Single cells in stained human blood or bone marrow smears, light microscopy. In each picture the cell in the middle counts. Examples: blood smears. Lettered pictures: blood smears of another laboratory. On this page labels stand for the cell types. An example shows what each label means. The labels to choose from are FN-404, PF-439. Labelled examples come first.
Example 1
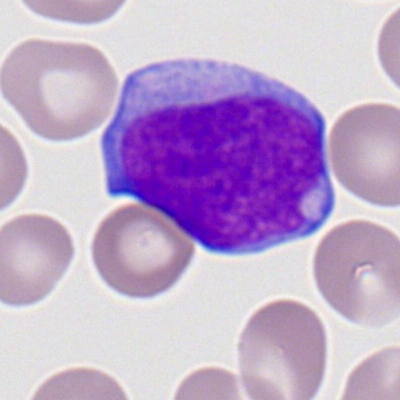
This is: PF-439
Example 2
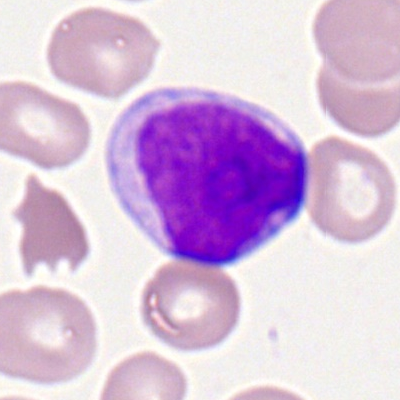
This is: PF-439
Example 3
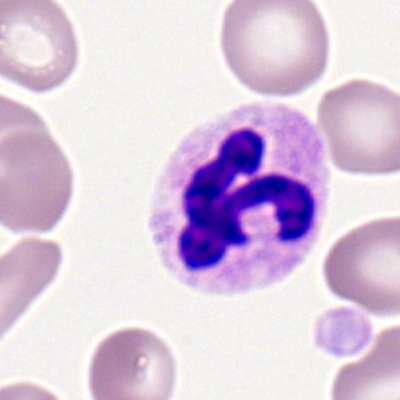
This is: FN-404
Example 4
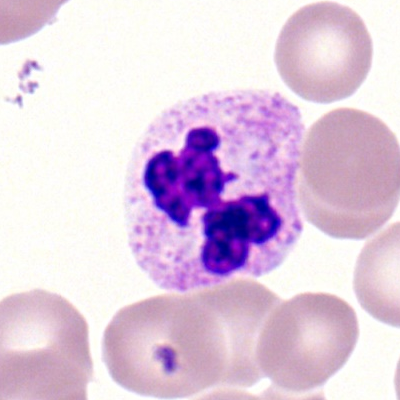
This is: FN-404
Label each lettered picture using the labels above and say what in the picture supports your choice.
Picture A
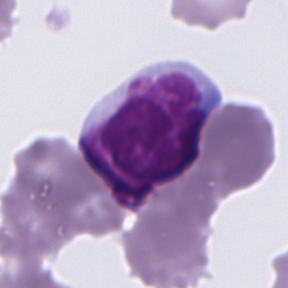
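PF-439. Reason: The nucleus fills most of the cell and shows a fold or cleft across its upper part.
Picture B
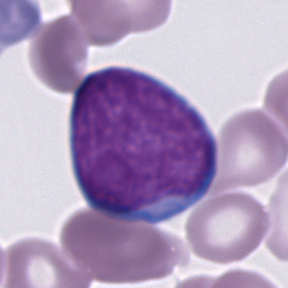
PF-439. Reason: The nucleus fills almost the whole cell.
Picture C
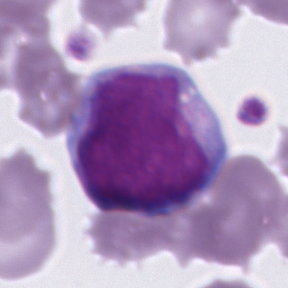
PF-439. Reason: The cytoplasm is blue.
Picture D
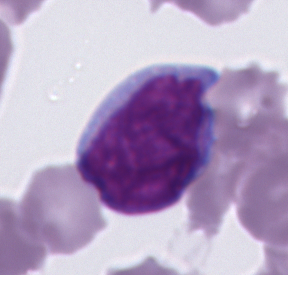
PF-439. Reason: The cytoplasm forms only a narrow rim, widest as a crescent along the upper-left edge of the cell.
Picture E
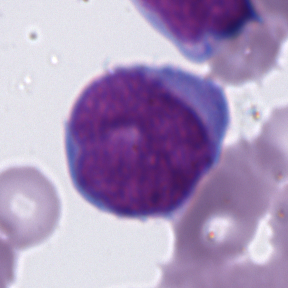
PF-439. Reason: The cytoplasm is blue.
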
